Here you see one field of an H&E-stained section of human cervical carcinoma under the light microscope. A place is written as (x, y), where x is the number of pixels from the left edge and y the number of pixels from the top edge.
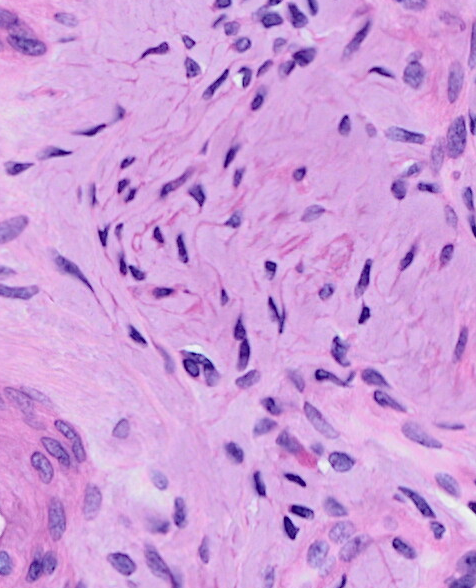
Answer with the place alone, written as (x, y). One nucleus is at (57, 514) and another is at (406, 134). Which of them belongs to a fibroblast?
(406, 134)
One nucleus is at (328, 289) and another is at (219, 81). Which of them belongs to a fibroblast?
(219, 81)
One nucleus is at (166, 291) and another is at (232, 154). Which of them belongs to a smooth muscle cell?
(166, 291)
